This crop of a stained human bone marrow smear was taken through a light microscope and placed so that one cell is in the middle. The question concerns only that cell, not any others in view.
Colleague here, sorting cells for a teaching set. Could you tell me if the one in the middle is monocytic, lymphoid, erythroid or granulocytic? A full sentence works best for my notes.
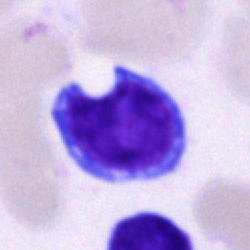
It is the lymphoid lineage to which the central cell belongs.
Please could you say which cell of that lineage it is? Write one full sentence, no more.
In this crop, the cell at the very middle is a lymphocyte.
